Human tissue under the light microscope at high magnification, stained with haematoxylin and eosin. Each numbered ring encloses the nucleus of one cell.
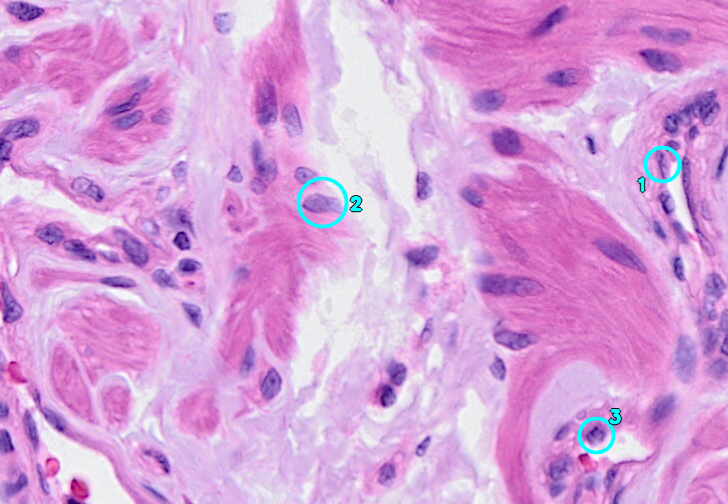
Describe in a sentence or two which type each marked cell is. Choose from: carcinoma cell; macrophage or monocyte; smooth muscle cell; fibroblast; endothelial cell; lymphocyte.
Cells 1 and 3 are endothelial cells. Cell 2 is a smooth muscle cell.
